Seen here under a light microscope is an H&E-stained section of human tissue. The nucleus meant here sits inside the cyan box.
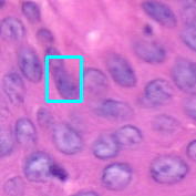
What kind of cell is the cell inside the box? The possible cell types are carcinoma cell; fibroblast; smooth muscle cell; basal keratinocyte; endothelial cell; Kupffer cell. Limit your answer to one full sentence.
In this field of tissue, the cell inside the box is a basal keratinocyte.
